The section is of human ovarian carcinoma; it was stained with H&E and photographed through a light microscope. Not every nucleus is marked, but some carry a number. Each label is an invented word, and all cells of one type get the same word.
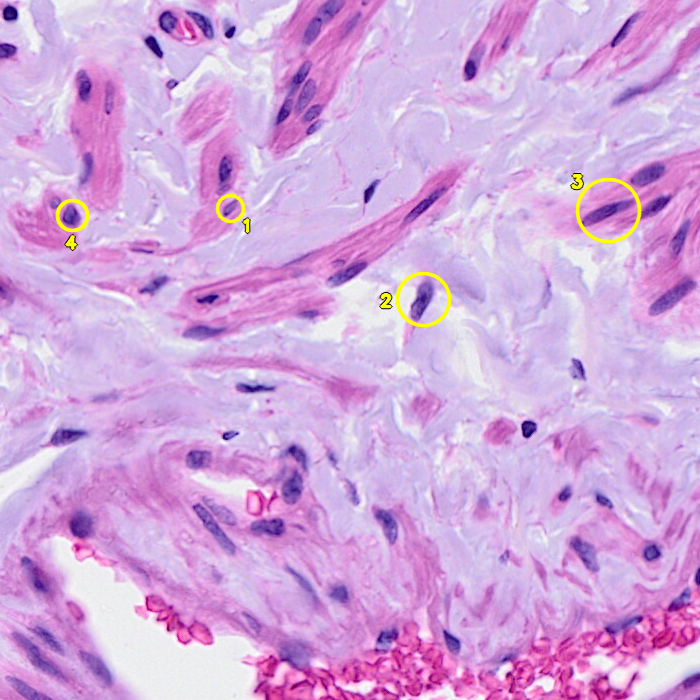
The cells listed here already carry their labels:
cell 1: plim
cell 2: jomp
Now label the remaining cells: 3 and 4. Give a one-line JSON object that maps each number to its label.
{"3": "plim", "4": "plim"}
